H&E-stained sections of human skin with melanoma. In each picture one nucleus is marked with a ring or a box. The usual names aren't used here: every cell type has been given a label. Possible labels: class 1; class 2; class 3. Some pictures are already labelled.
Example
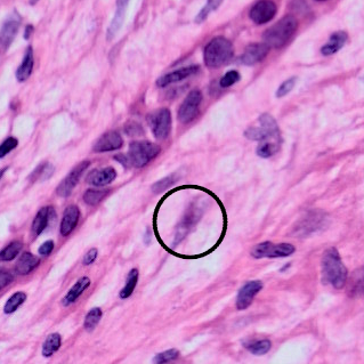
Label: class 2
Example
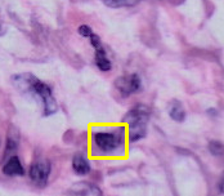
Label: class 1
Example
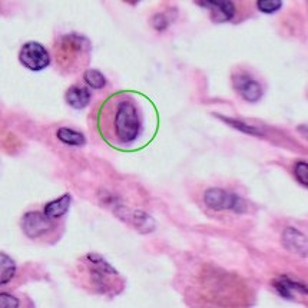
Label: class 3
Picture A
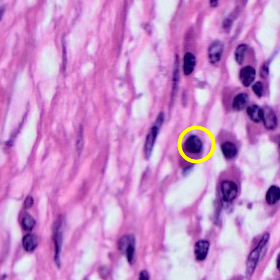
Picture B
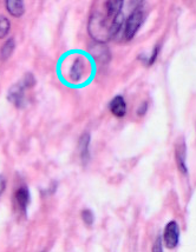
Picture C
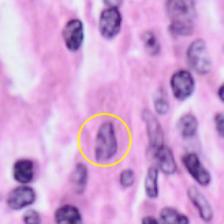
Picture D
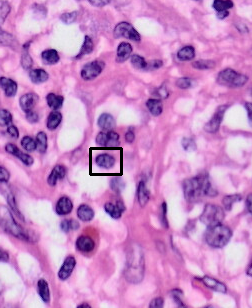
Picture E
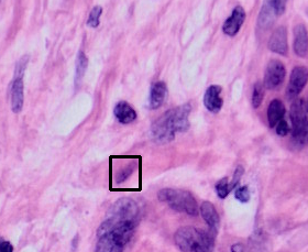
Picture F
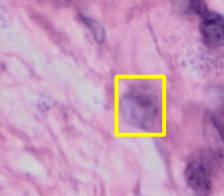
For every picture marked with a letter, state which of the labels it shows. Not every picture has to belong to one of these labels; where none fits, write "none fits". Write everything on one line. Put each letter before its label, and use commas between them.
A class 1, B none fits, C class 3, D none fits, E class 3, F class 2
